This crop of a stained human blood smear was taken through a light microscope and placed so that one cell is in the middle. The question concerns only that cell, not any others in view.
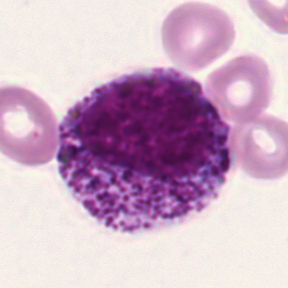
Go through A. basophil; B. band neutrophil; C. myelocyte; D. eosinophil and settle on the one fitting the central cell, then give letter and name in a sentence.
Option C is the right choice, the central cell being a myelocyte.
